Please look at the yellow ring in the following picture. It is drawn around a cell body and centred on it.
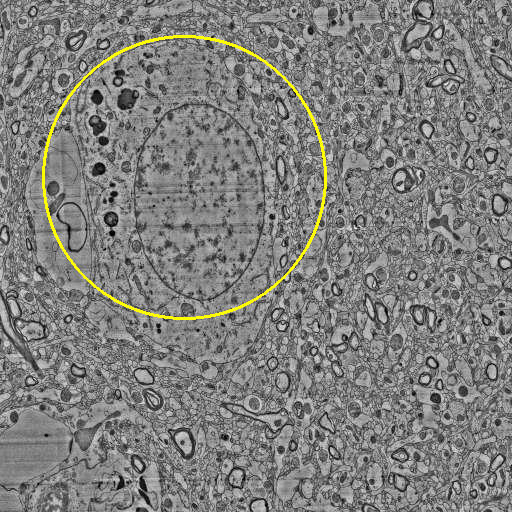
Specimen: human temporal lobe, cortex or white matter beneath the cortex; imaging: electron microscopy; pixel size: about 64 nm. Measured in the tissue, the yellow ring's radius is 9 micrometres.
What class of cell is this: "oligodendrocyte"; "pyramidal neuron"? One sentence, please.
The ring surrounds the cell body of a pyramidal neuron.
